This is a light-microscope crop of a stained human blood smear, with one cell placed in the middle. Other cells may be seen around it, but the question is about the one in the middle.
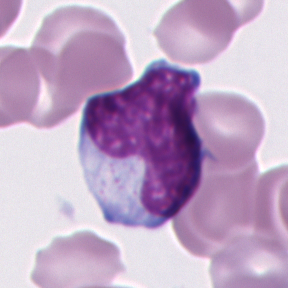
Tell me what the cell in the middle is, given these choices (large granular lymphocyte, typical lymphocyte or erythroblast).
large granular lymphocyte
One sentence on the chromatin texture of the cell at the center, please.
Its chromatin is clumped in a coarse pattern.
